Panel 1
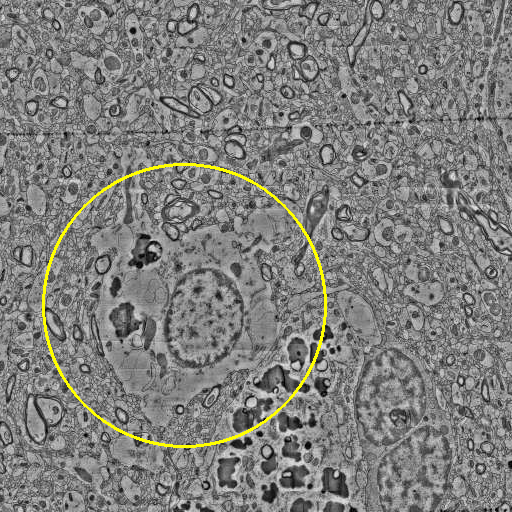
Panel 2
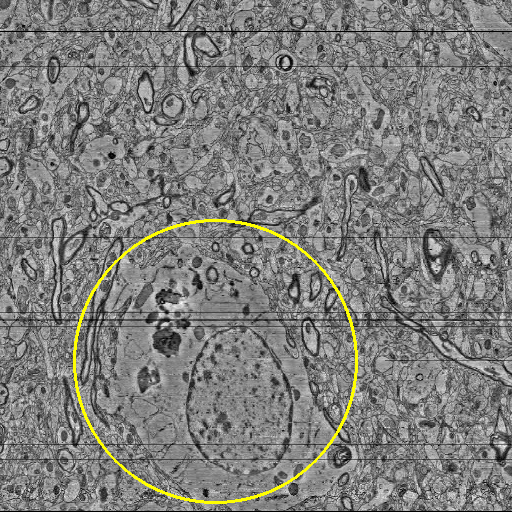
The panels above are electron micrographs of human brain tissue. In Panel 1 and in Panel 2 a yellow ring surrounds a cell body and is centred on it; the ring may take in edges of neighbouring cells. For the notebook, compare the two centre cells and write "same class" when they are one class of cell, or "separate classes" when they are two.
same class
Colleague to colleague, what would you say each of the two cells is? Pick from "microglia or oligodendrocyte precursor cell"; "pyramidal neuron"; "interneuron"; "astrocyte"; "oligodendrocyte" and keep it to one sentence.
Each one of the two ringed cells is an astrocyte.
